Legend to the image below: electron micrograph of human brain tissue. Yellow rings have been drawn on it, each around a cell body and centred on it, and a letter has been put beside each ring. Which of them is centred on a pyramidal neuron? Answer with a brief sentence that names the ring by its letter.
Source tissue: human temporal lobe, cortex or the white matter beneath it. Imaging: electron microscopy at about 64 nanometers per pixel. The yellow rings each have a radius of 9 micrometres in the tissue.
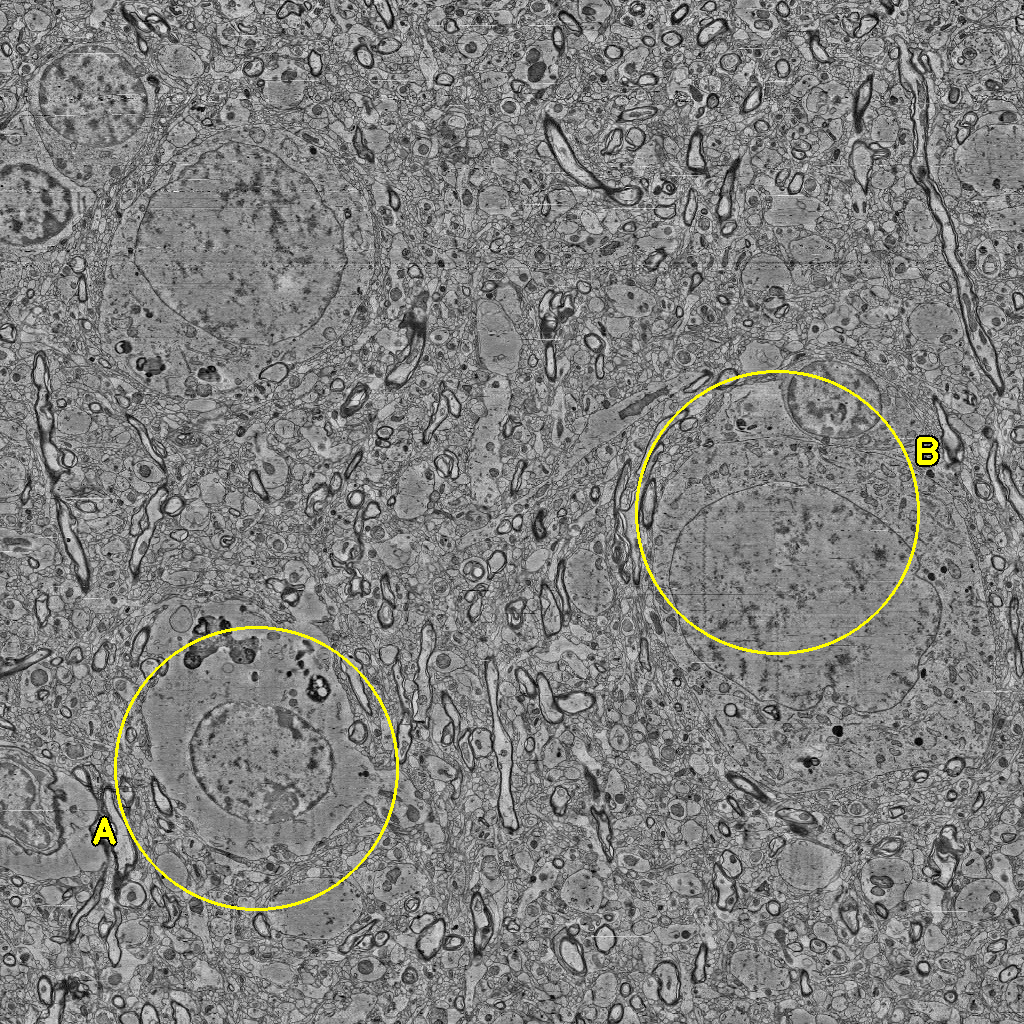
It is the ring lettered B.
